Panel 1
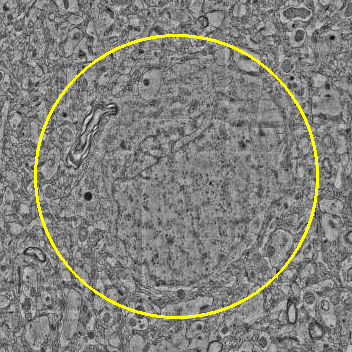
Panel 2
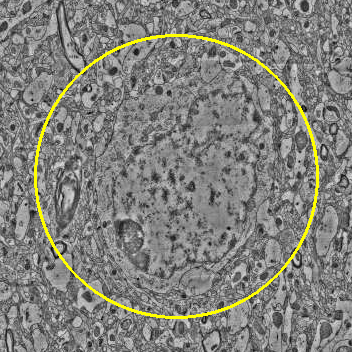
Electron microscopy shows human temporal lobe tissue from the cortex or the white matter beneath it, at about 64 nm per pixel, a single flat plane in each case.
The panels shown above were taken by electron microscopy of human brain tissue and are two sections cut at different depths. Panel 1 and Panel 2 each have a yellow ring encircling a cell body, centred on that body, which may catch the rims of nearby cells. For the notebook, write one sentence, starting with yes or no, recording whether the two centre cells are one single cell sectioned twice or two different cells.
Yes, a single cell is the subject of both yellow rings.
